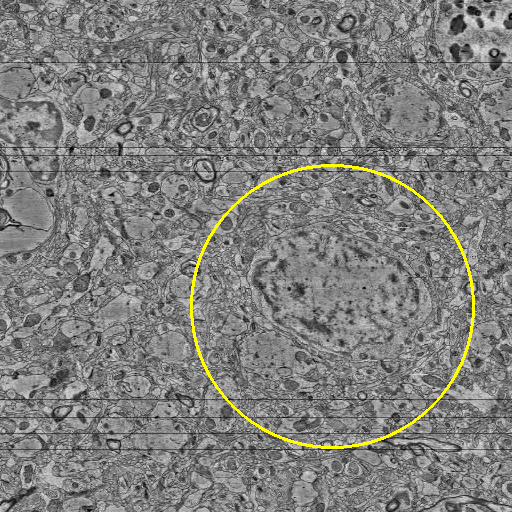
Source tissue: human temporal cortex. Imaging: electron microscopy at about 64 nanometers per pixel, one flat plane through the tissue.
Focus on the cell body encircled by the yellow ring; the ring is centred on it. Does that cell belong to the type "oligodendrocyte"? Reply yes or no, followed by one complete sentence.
No, the cell lying at the centre of the ring in the picture is another type.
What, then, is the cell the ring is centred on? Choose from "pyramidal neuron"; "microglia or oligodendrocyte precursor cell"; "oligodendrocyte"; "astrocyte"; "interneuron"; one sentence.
The ring holds an interneuron at its centre.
